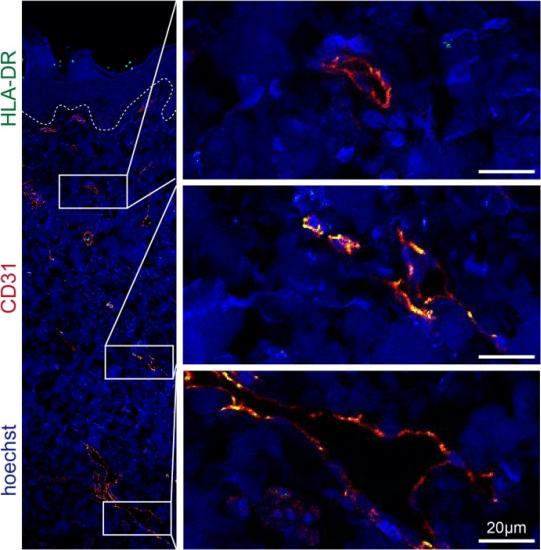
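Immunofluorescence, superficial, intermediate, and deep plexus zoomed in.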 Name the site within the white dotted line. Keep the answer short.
interface between epidermis and dermis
